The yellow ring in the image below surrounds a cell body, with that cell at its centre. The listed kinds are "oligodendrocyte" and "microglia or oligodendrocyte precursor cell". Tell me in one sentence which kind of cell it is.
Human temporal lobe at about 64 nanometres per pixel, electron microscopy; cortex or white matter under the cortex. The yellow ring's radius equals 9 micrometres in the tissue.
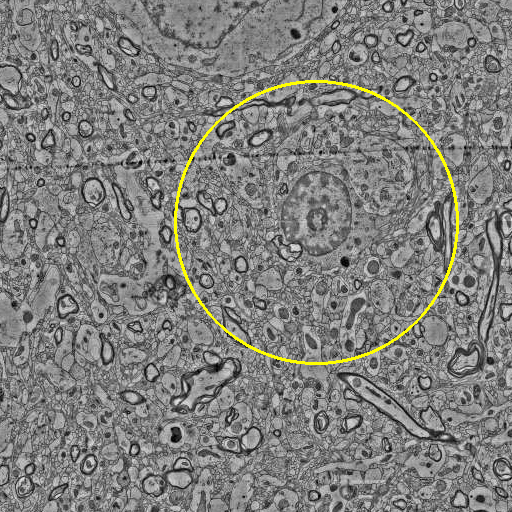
The centre of the ring holds an oligodendrocyte.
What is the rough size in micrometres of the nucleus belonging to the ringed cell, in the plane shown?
The nucleus of the ringed cell is approximately 5 micrometres across in this plane.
